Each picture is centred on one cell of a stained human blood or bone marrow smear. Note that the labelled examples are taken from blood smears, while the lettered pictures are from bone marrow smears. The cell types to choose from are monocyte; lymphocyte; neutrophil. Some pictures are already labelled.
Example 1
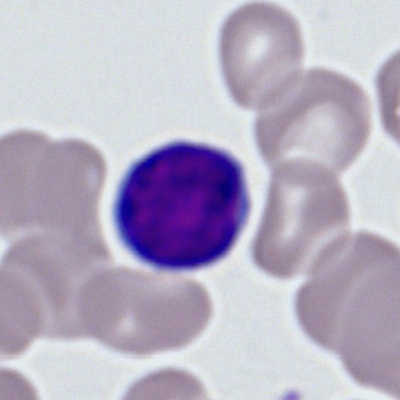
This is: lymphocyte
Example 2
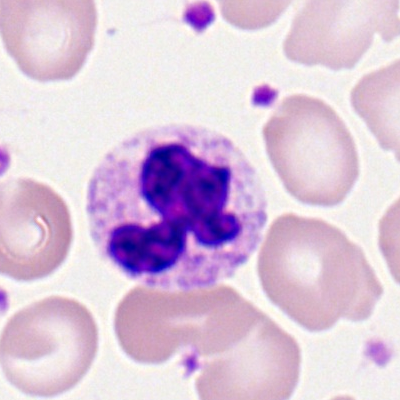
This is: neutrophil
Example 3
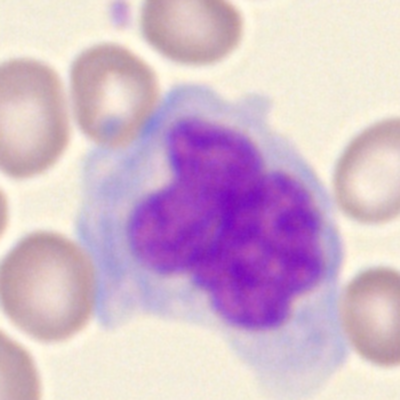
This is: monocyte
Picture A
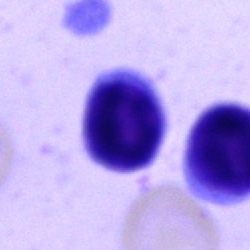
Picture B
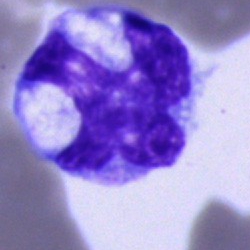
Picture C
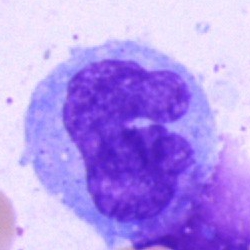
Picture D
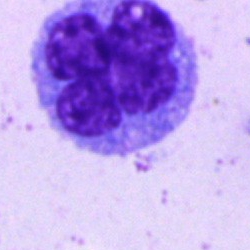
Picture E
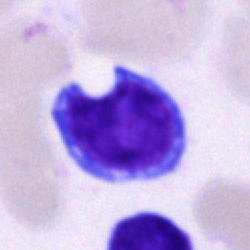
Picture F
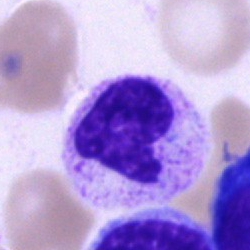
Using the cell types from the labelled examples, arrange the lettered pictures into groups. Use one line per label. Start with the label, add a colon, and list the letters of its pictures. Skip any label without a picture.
monocyte: B, C, D
lymphocyte: A, E
neutrophil: F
